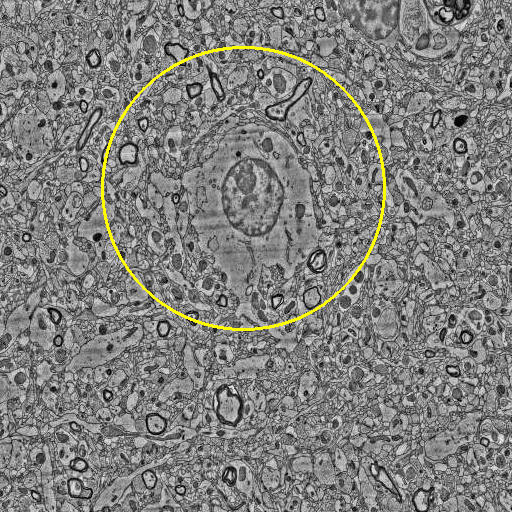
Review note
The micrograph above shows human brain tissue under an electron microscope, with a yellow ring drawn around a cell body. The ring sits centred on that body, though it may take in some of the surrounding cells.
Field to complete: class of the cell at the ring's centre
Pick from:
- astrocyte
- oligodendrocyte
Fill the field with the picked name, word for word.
astrocyte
